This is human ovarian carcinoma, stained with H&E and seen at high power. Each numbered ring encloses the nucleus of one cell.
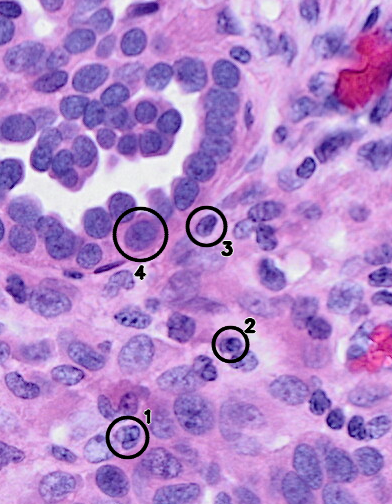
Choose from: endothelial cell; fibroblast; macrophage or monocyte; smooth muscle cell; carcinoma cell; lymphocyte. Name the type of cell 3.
lymphocyte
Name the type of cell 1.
macrophage or monocyte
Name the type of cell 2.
lymphocyte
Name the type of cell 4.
carcinoma cell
